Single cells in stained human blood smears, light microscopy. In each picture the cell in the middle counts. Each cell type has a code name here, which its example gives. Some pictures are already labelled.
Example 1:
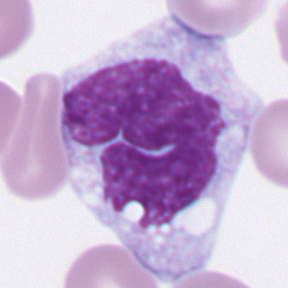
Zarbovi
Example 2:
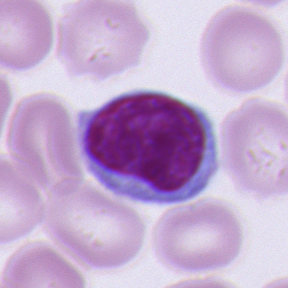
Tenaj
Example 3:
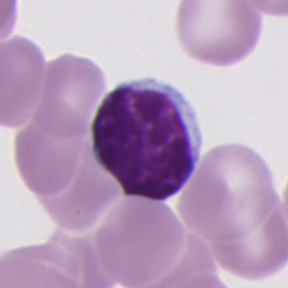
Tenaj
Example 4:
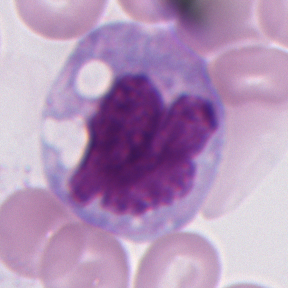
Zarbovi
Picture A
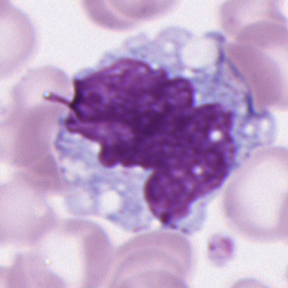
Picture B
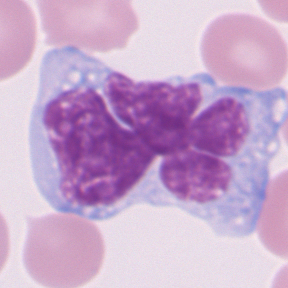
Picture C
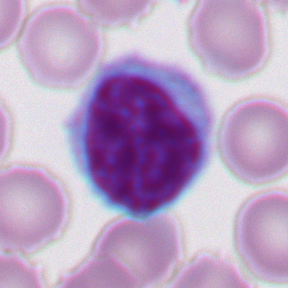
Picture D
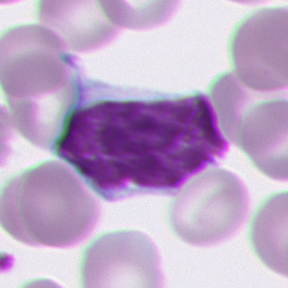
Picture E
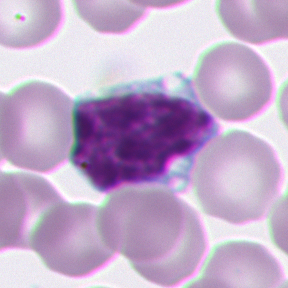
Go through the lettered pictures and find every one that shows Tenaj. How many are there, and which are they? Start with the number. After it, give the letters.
Count: 3 (C, D, E)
